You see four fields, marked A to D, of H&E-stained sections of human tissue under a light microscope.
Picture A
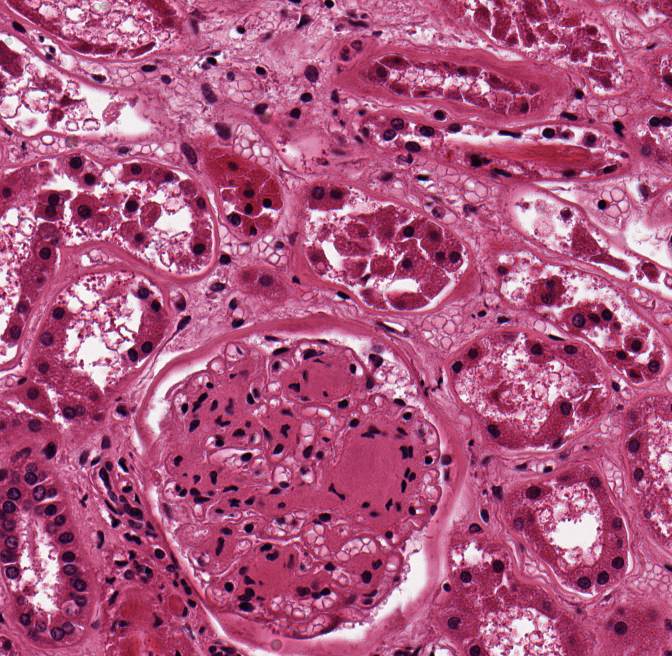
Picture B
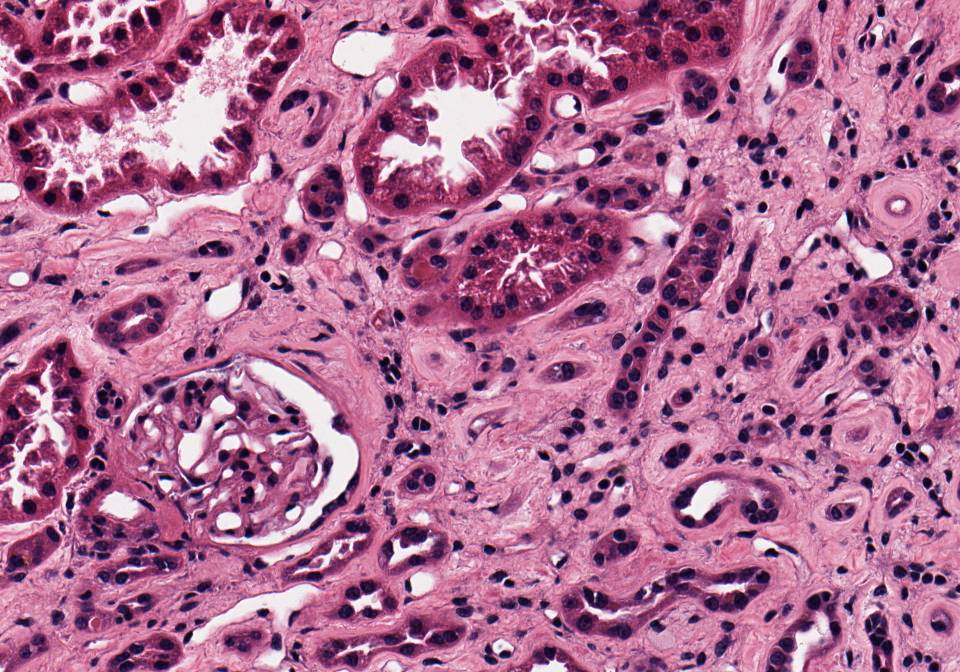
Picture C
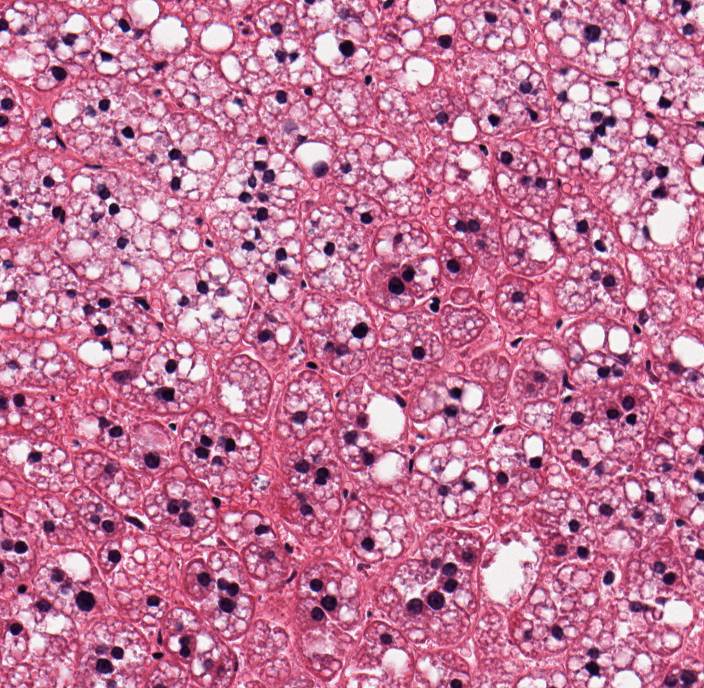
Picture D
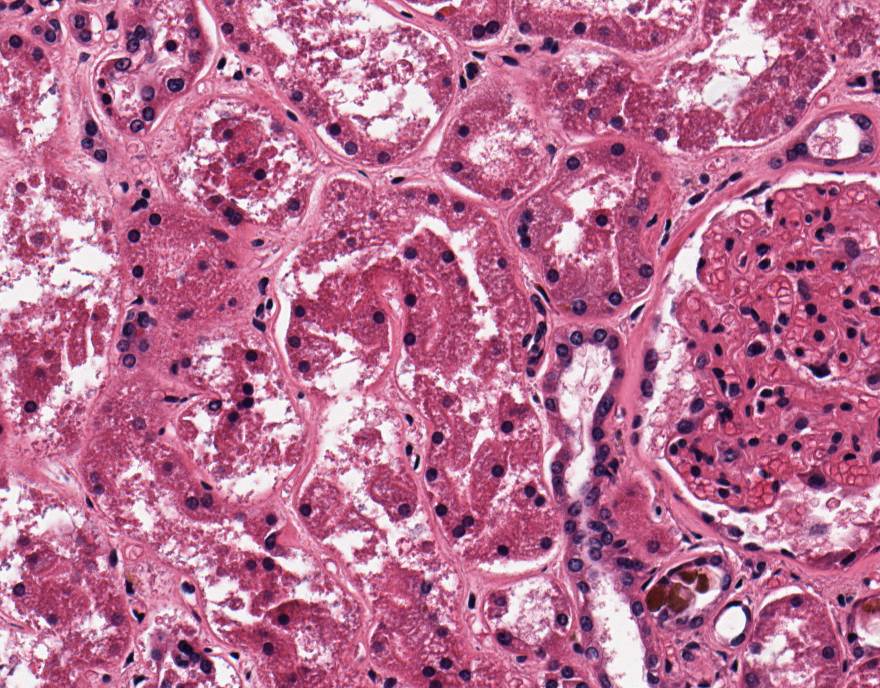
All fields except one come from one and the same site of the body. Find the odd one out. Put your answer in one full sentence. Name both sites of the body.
All pictures except C come from the renal cortex; picture C comes from the adrenal gland.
